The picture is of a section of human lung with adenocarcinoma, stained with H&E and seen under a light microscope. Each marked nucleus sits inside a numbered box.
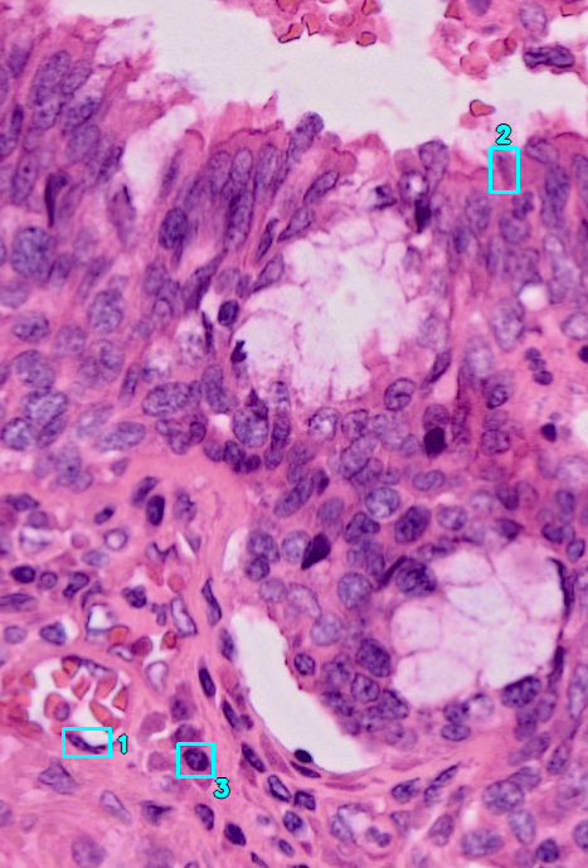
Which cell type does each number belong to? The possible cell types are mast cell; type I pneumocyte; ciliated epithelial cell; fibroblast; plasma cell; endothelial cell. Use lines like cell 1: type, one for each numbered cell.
cell 1: endothelial cell
cell 2: ciliated epithelial cell
cell 3: plasma cell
